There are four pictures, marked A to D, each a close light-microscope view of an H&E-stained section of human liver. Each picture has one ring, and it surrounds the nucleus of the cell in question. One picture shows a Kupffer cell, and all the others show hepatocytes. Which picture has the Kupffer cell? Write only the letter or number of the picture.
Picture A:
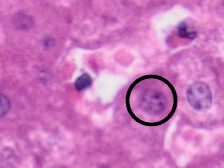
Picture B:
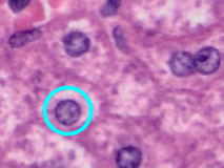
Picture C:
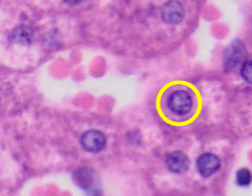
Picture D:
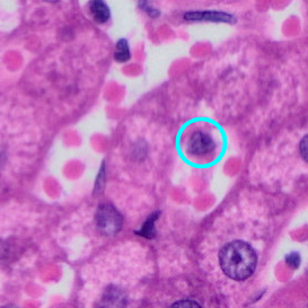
D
